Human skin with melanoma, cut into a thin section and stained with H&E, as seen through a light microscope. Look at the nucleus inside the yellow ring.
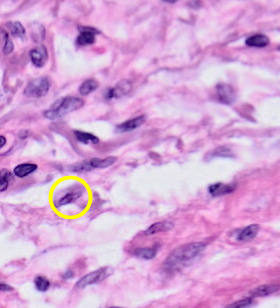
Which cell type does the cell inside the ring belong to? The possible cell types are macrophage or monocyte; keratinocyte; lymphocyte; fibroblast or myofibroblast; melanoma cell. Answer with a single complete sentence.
Histopathologically, the cell inside the ring is a fibroblast or myofibroblast.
